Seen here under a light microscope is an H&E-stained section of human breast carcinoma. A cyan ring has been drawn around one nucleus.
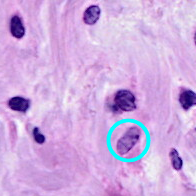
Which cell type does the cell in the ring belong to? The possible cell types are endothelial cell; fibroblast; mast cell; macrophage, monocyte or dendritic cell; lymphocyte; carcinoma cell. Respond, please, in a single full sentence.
Histopathologically, the cell in the ring is a macrophage, monocyte or dendritic cell.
